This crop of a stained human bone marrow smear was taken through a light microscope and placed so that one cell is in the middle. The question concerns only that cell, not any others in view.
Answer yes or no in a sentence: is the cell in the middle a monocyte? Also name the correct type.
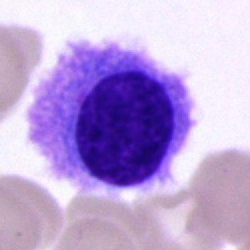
No, not a monocyte but a hairy cell is the cell in the centre.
